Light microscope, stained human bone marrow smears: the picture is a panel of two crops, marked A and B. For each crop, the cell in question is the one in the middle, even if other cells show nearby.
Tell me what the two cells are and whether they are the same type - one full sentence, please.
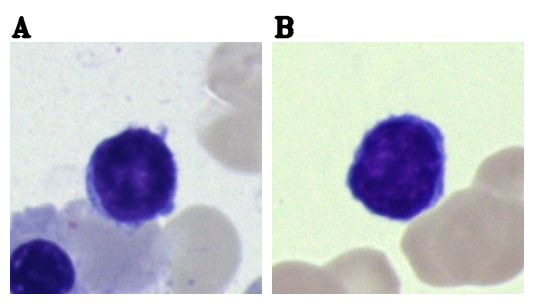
Yes, lymphocytes are what the two crops show.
